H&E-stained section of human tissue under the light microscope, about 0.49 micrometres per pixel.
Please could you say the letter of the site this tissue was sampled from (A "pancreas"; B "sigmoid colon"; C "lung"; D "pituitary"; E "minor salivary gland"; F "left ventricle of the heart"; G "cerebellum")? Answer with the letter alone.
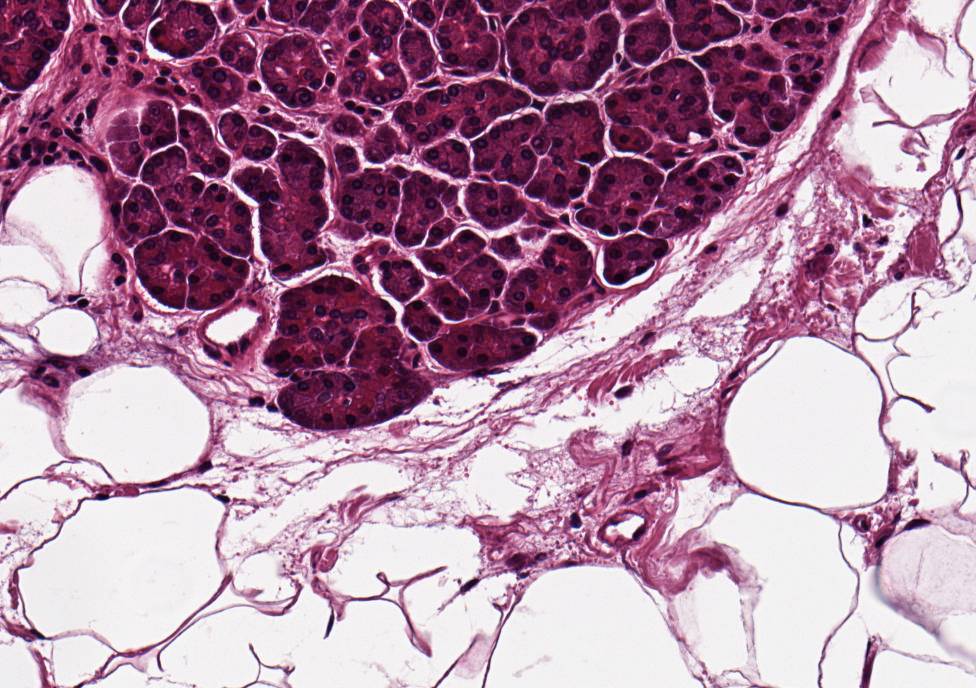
A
